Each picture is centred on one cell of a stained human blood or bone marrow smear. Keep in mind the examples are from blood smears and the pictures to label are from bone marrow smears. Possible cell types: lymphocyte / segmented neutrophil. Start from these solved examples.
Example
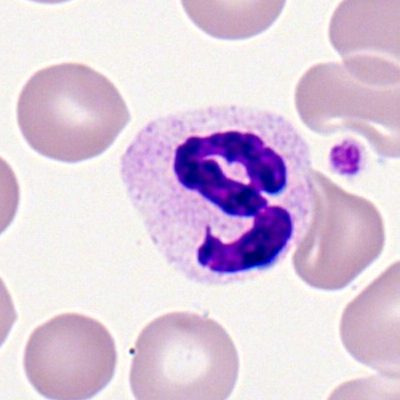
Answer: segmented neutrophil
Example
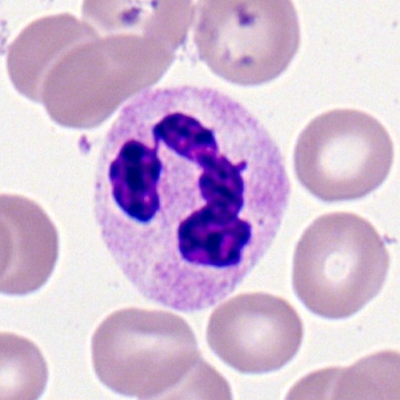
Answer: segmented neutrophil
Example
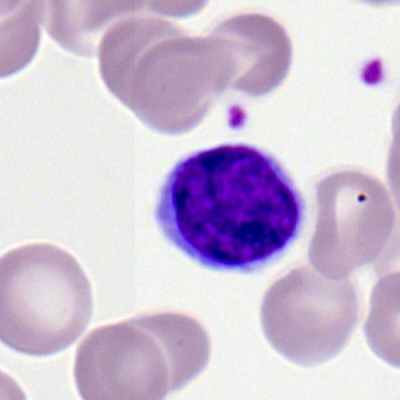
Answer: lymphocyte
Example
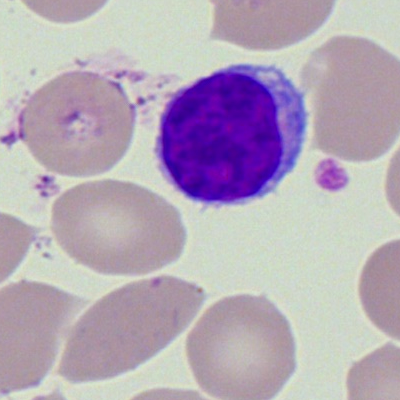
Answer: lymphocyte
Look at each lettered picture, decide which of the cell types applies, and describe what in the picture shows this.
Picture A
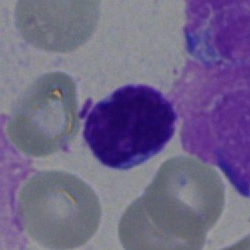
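lymphocyte. The nucleus fills almost the whole cell.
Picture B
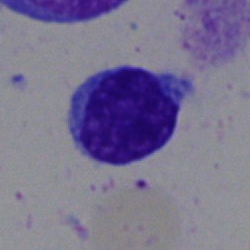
lymphocyte. The cytoplasm is scant, forming only a thin rim around the nucleus.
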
